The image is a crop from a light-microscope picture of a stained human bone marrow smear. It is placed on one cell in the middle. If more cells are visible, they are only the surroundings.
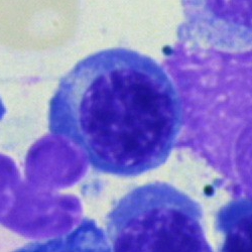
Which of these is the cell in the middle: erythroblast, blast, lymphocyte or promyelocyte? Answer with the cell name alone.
erythroblast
